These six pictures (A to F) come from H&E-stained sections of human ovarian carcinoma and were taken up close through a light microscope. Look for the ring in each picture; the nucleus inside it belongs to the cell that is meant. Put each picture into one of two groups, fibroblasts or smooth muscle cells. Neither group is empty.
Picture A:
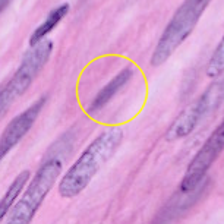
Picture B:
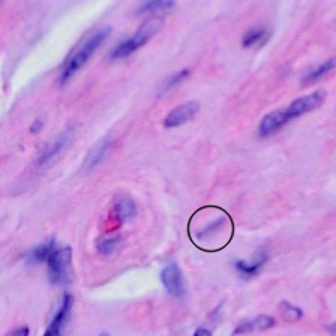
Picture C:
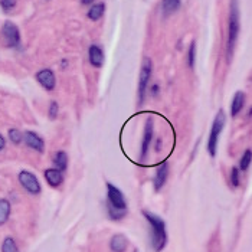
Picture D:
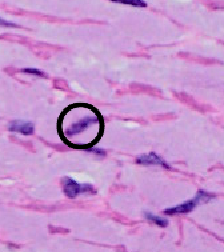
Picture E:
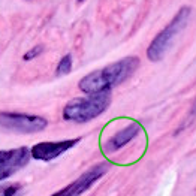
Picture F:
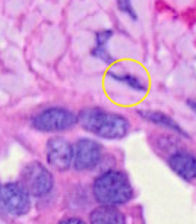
A: smooth muscle cell
B: smooth muscle cell
C: smooth muscle cell
D: fibroblast
E: smooth muscle cell
F: fibroblast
